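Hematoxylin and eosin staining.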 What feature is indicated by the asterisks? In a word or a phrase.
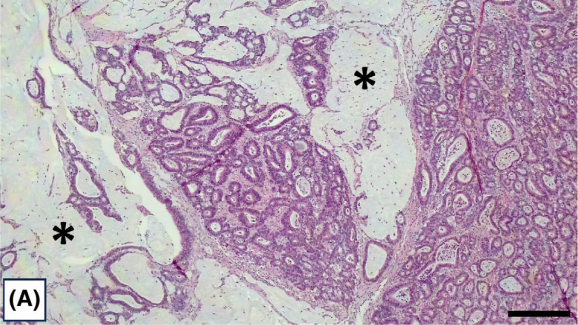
Mucinous areas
